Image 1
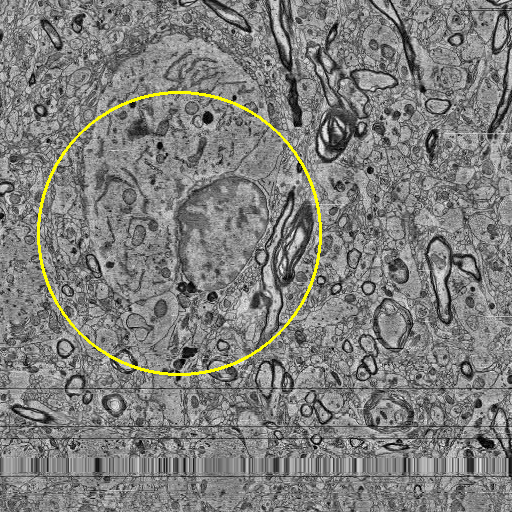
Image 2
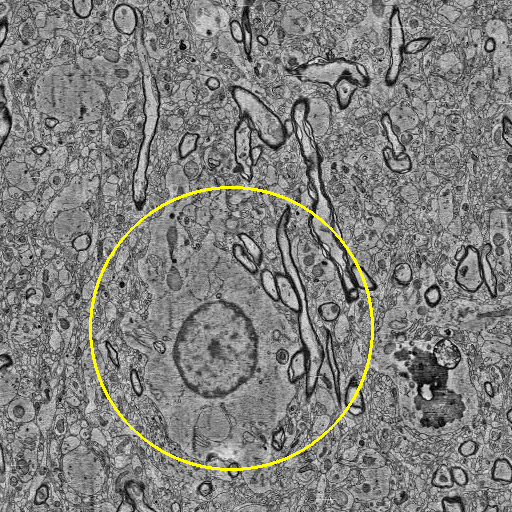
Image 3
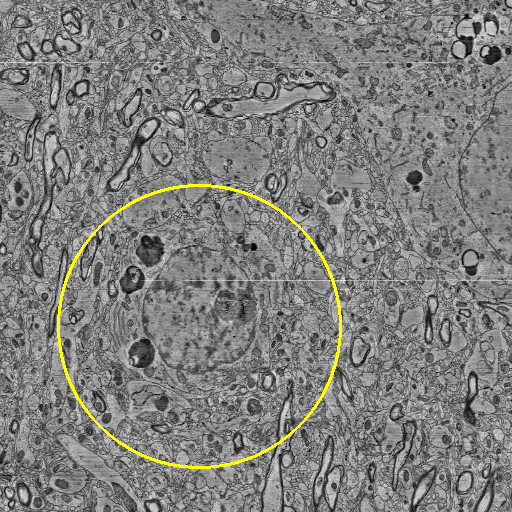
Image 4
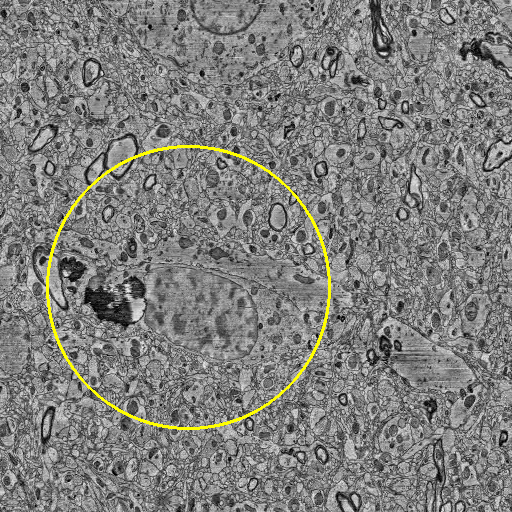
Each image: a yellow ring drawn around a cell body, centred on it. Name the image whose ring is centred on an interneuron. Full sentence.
That is Image 3.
